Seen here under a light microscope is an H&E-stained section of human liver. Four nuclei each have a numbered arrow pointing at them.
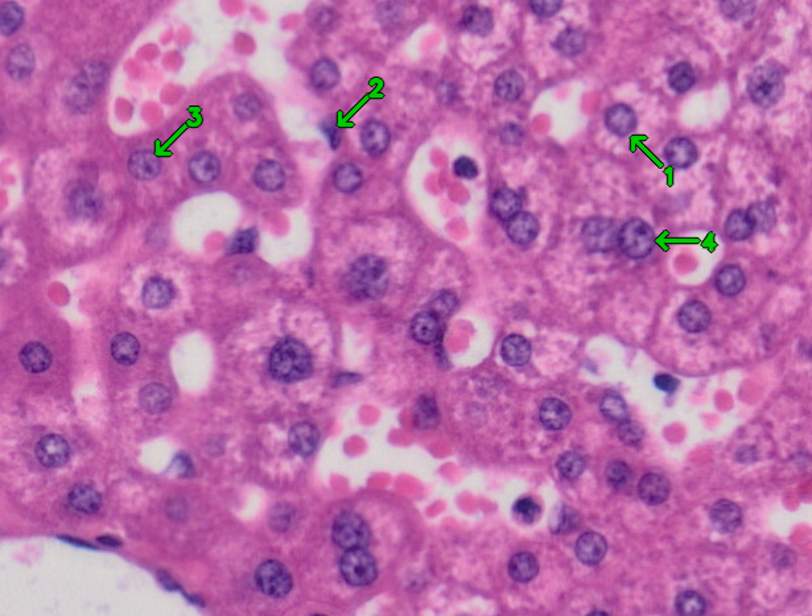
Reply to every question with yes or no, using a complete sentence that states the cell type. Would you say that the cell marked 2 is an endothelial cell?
Yes, in this tissue section, number 2 is an endothelial cell.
